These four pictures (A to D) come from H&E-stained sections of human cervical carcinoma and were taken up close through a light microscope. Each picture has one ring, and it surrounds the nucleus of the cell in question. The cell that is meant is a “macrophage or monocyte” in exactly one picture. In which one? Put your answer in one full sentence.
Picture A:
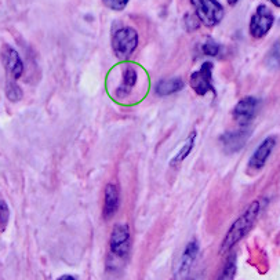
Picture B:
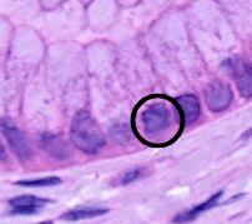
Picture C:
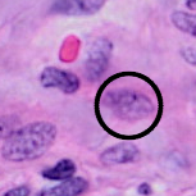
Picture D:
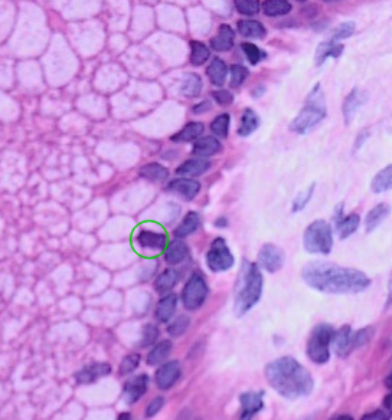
It is picture A that shows the “macrophage or monocyte”.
